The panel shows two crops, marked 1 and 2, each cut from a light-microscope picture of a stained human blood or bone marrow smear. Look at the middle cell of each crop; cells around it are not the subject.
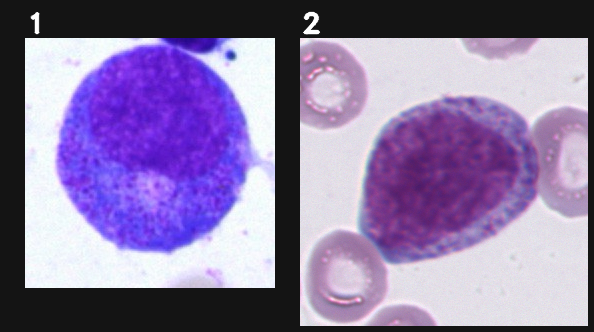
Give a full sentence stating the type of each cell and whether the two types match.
Yes, both crops show promyelocytes, each crop centred on one of them.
